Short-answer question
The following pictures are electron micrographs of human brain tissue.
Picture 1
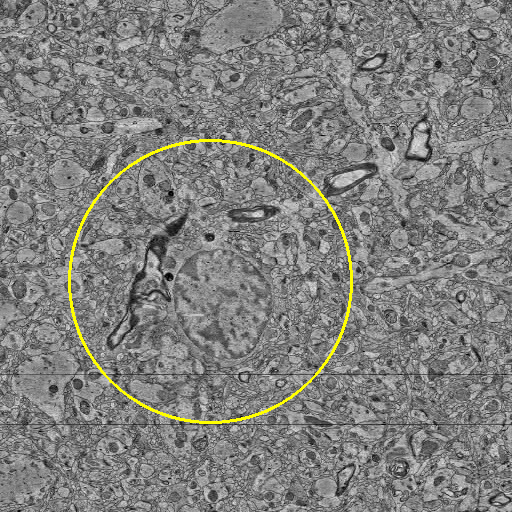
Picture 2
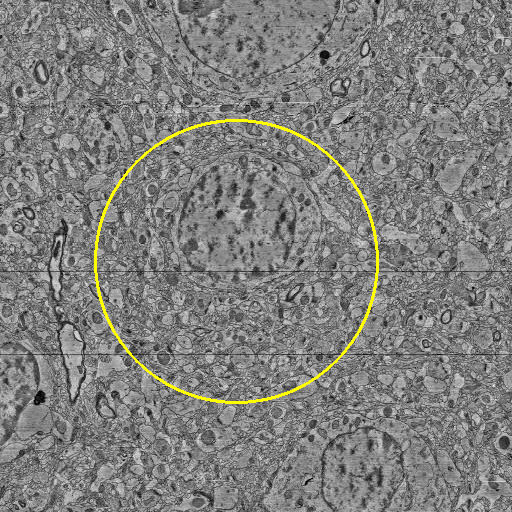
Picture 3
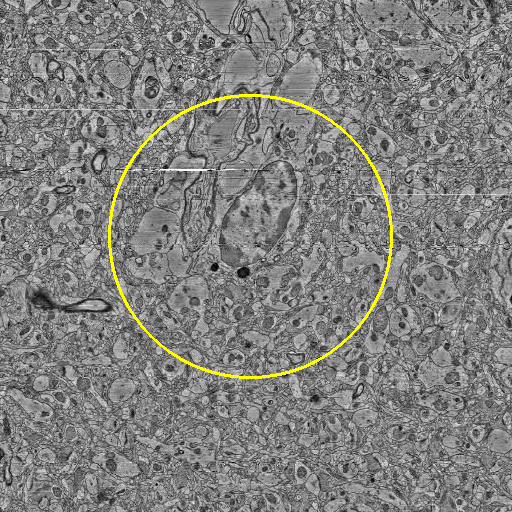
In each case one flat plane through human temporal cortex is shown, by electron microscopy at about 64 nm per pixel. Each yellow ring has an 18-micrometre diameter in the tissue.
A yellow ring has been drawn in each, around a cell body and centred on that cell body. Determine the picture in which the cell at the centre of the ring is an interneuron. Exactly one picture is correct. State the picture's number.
2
